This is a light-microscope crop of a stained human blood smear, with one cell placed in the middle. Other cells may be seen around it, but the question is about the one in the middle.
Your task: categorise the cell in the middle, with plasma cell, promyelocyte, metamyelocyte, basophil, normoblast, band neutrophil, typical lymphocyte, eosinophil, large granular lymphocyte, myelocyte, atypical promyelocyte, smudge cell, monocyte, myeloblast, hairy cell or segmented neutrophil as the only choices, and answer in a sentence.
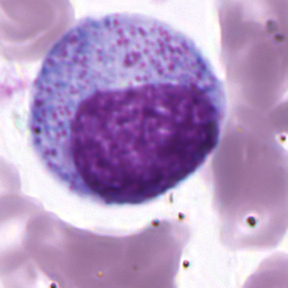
The cell sitting right in the middle is a promyelocyte.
